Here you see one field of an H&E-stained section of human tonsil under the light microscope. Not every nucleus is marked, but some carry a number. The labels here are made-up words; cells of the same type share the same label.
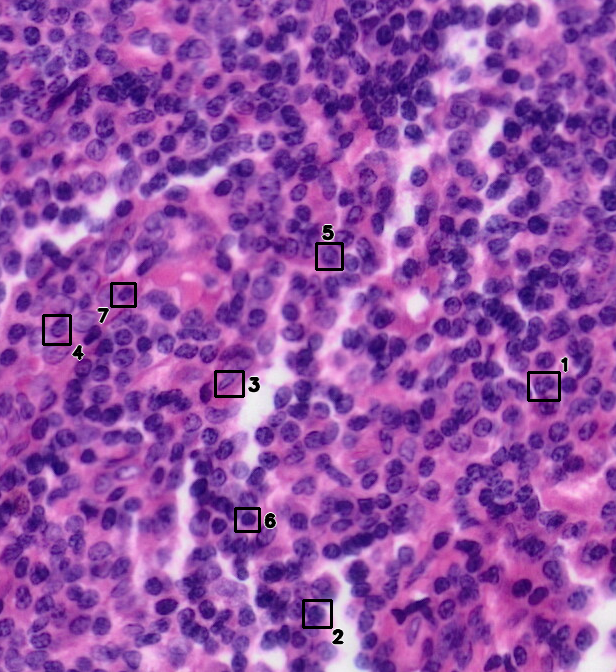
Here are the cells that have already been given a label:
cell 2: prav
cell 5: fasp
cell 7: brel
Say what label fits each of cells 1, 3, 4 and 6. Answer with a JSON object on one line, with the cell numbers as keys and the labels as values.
{"1": "fasp", "3": "brel", "4": "brel", "6": "prav"}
